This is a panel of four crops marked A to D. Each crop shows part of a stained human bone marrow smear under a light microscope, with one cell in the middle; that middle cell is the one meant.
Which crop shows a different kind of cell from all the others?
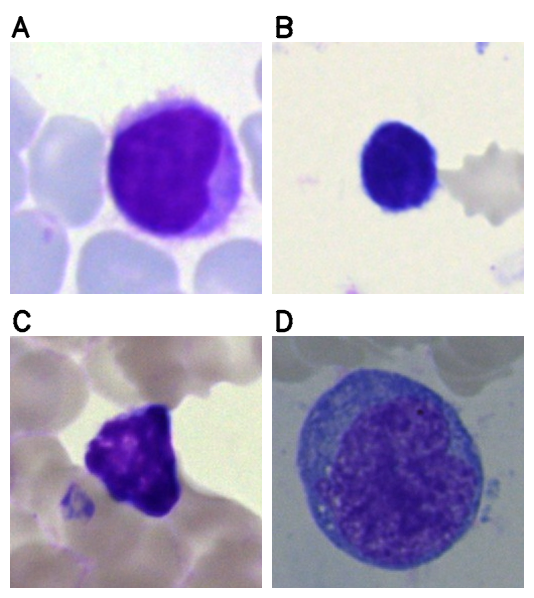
D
